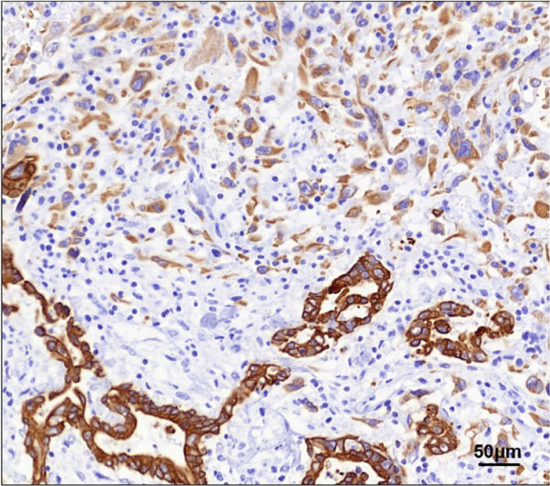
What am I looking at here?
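Carcinoma with a tubular component and an undifferentiated component. The tubular component forms branching glands lined by cells with intense brown membranous and cytoplasmic staining. Between the glands lie loosely arranged spindle and polygonal cells with pleomorphic nuclei, many of which show weaker brown cytoplasm. Small round blue nuclei of inflammatory cells are scattered in the stroma.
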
